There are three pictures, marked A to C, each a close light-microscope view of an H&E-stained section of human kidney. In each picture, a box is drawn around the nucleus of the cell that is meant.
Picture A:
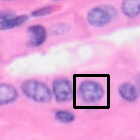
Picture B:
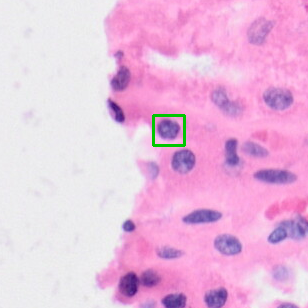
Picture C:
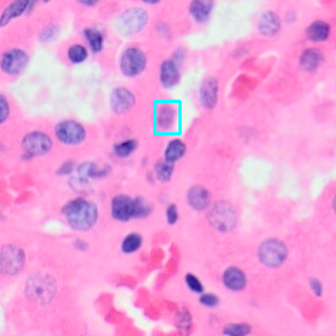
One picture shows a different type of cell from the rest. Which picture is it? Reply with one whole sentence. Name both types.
Unlike the rest, which show “loop of Henle or distal tubule cells”, picture A shows a collecting duct cell.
